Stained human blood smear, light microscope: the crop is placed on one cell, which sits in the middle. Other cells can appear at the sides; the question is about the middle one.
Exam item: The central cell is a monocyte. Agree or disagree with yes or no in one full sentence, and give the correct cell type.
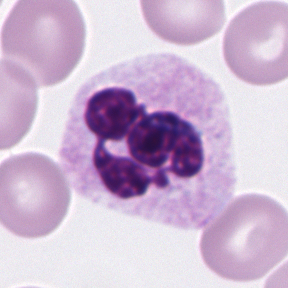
No, mark the middle cell as a segmented neutrophil, not a monocyte.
